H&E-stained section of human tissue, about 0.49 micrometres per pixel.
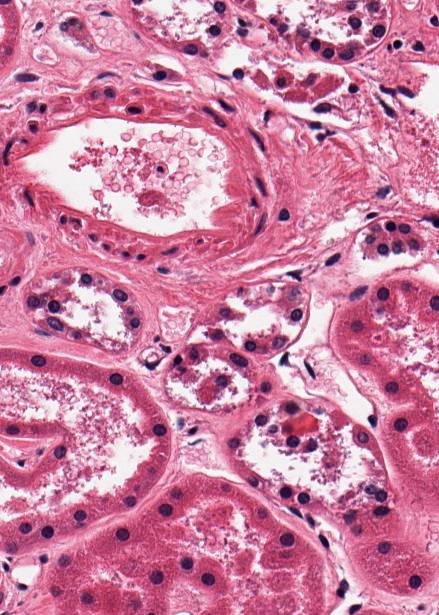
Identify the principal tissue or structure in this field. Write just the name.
cortical labyrinth of the kidney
